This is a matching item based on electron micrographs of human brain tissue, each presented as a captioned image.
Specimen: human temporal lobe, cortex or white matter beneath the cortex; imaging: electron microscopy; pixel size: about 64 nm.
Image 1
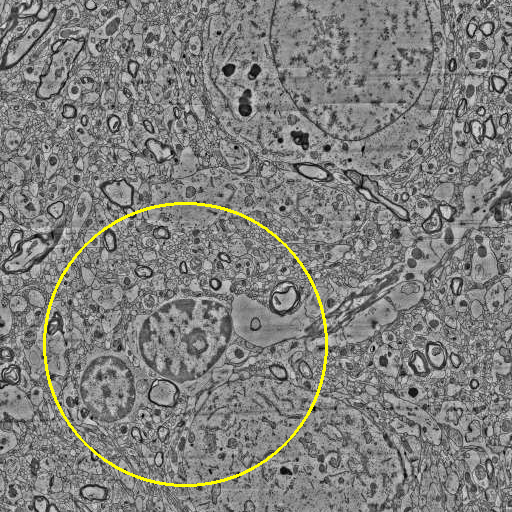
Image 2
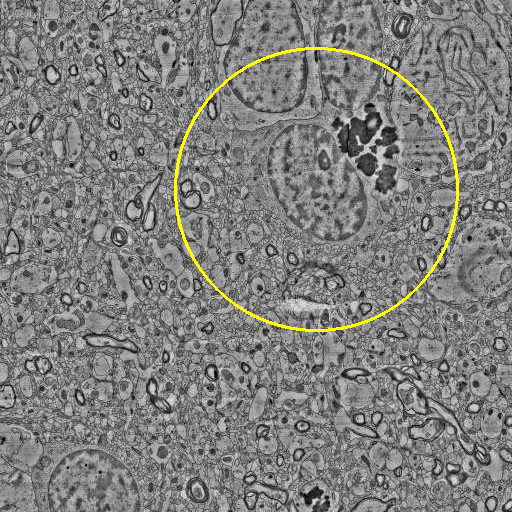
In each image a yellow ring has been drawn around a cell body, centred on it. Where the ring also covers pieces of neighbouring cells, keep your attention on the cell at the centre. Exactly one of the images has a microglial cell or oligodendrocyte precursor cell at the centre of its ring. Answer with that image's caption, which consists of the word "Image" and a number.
Image 1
